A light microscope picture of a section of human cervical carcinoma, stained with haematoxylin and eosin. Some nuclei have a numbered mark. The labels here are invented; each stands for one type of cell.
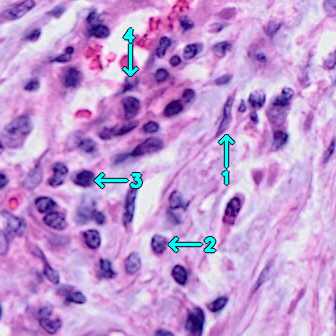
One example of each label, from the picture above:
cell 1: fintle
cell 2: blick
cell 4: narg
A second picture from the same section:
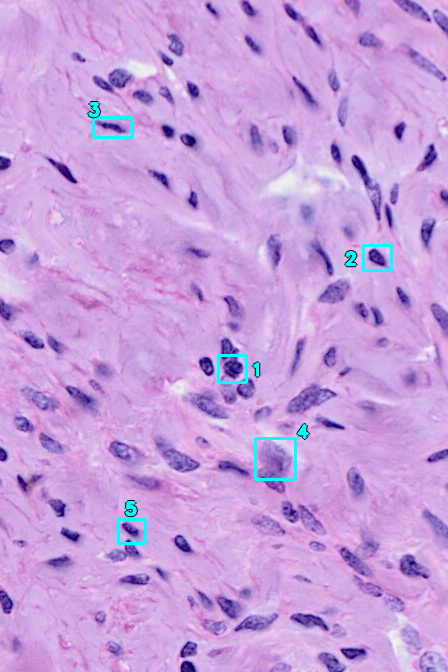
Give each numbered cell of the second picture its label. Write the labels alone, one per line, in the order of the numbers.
blick
fintle
fintle
narg
fintle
